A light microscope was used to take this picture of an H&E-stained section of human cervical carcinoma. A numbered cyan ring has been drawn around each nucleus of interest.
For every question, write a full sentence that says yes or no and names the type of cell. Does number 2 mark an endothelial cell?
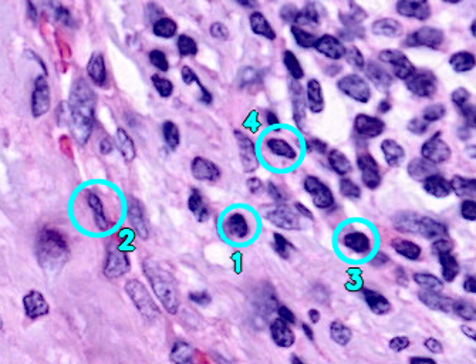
Yes, the cell labelled with number 2 is an endothelial cell.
